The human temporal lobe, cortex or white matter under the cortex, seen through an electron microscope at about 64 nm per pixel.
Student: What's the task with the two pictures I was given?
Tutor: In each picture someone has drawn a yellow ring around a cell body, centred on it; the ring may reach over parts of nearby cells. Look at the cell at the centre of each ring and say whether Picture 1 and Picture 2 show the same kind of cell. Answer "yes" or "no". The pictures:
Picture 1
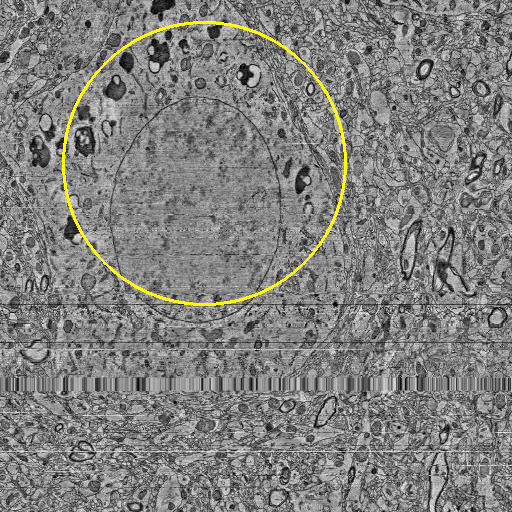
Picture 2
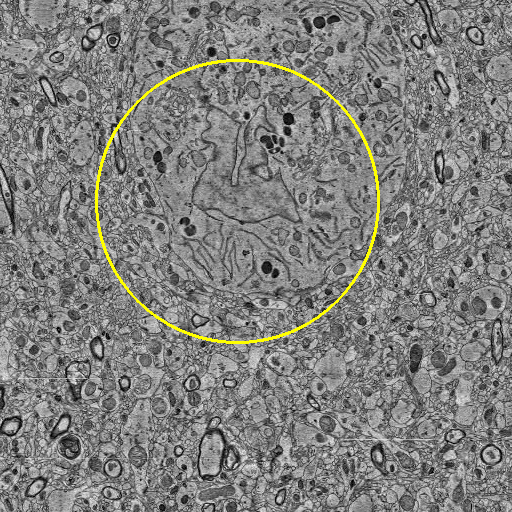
no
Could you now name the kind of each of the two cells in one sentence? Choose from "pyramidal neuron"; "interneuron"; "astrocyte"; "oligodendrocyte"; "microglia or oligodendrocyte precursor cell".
The first ring encloses a pyramidal neuron; the second ring encloses an interneuron.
